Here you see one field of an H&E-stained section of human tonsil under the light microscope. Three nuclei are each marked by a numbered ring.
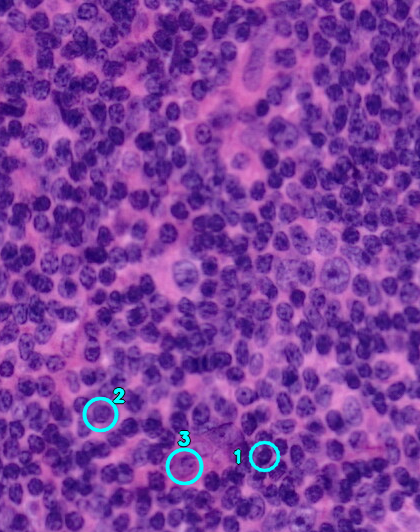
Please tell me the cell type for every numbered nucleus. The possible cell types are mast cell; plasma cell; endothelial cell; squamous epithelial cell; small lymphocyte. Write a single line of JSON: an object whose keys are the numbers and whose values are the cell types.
{"1": "small lymphocyte", "2": "small lymphocyte", "3": "endothelial cell"}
